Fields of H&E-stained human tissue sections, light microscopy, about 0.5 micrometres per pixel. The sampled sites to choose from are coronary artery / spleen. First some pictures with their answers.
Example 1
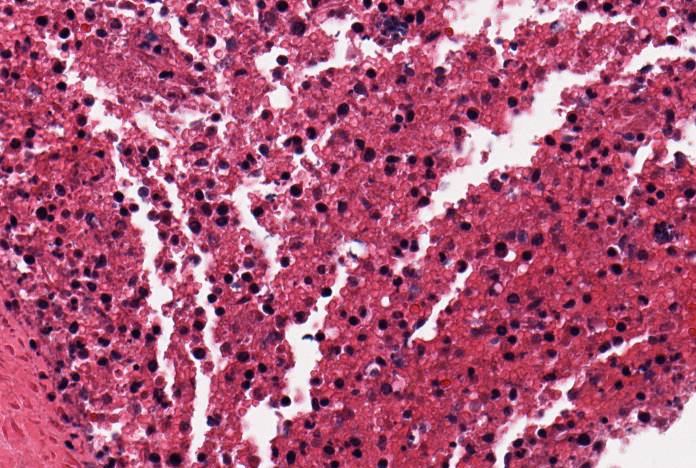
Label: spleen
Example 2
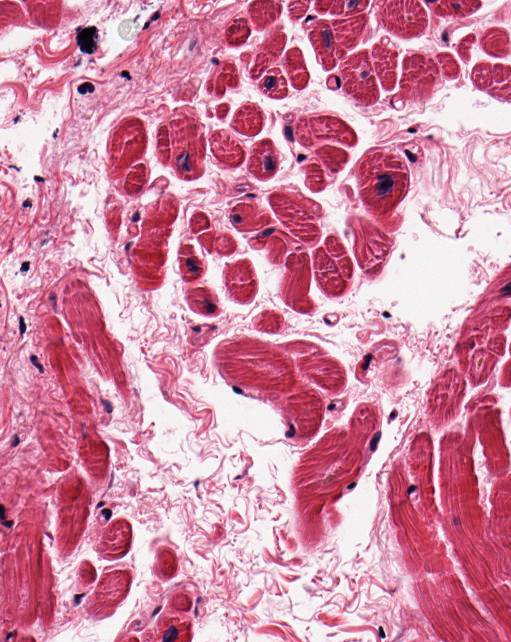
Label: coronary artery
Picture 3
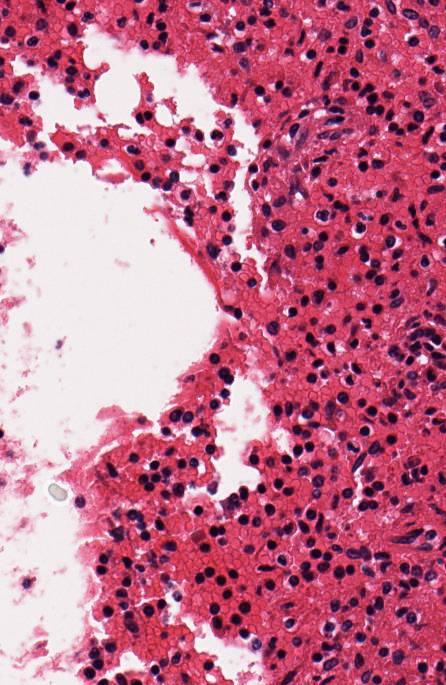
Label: spleen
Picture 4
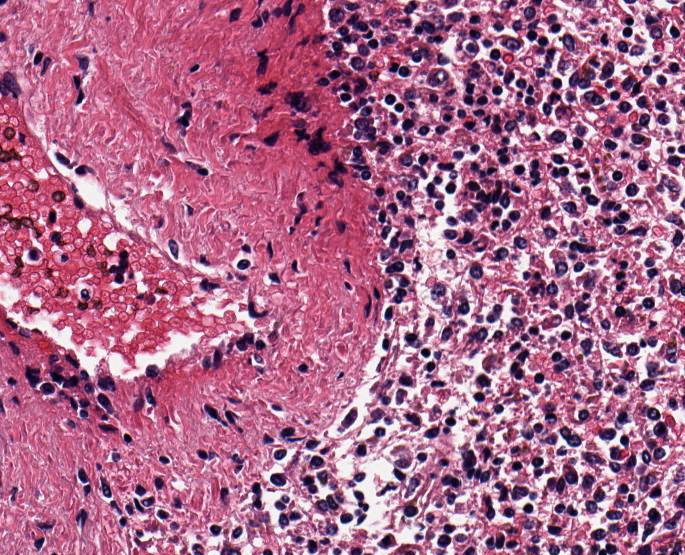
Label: spleen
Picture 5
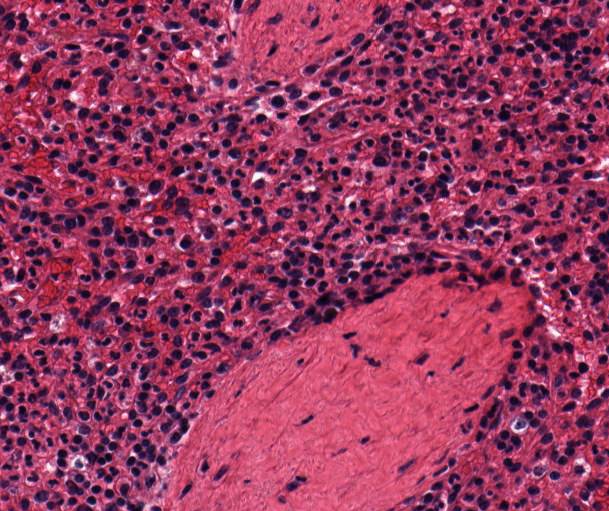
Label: spleen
